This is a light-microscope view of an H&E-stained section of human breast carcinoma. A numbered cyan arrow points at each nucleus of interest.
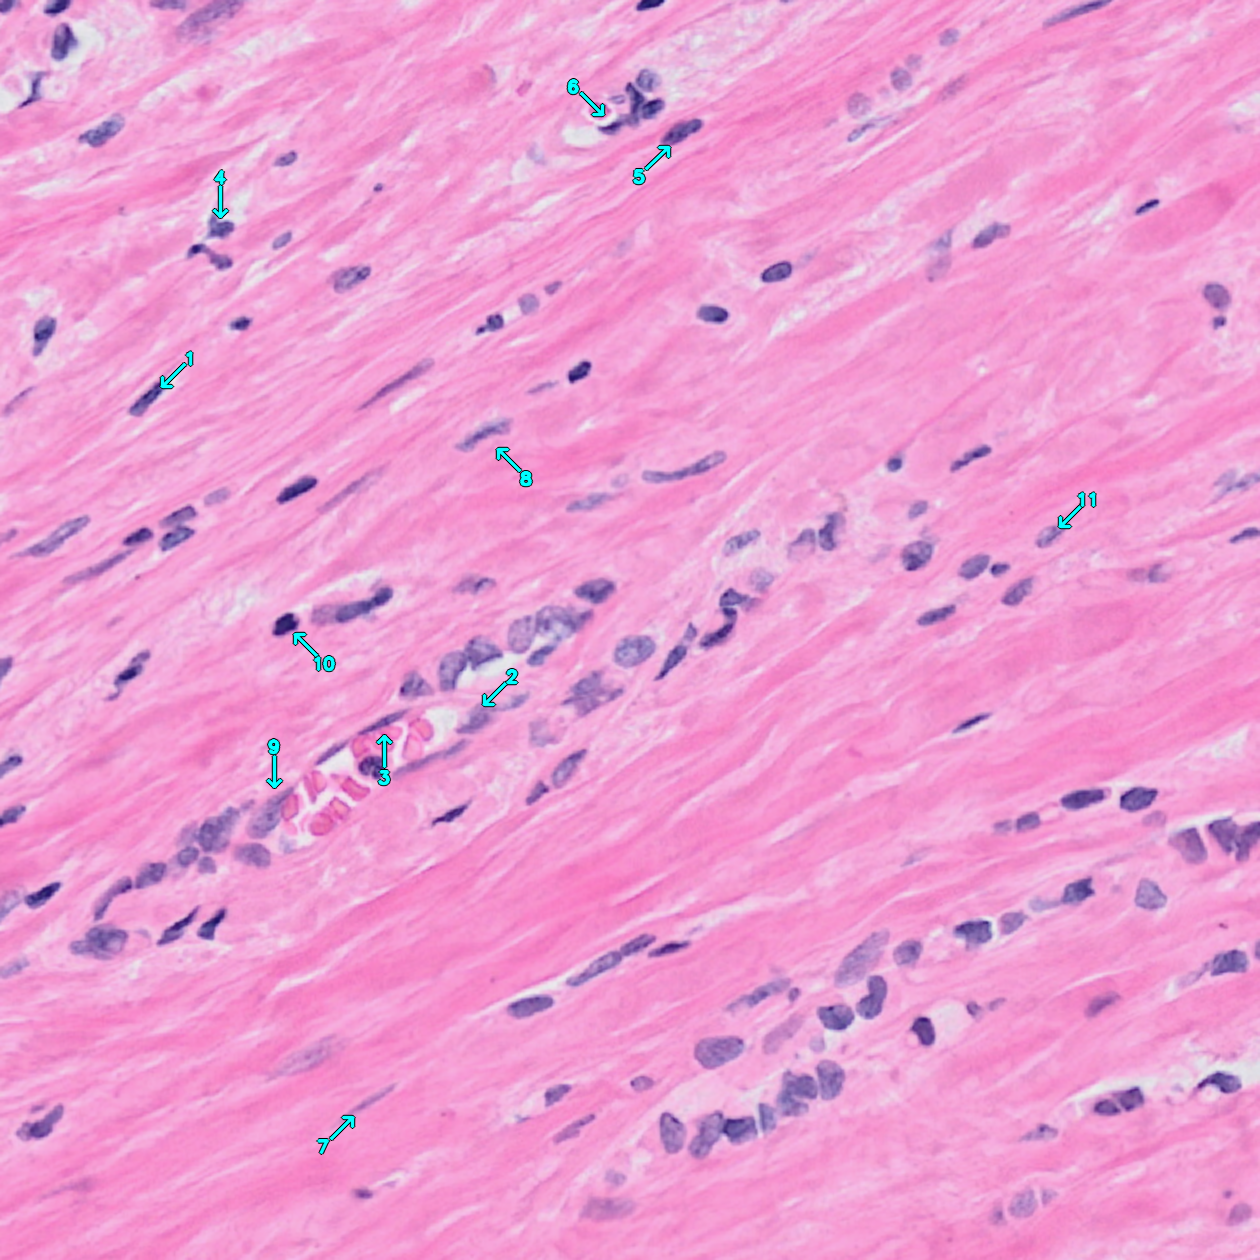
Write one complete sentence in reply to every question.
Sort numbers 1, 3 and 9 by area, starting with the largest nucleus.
The nuclei rank 9, 1, 3, from largest to smallest.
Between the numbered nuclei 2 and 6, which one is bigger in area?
Nucleus 2 covers more area, about 1.5 times as much as nucleus 6.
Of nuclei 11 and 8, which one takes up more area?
Nucleus 8 covers more area, about 2.5 times as much as nucleus 11.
